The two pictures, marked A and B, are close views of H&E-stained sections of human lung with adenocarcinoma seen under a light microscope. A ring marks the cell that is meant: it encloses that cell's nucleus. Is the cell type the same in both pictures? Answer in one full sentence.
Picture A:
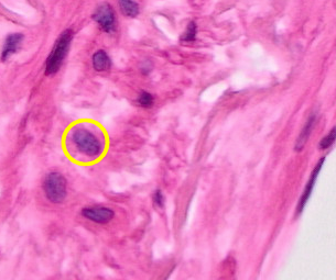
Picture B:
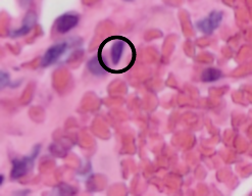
No, picture A shows a “smooth muscle cell or pericyte” and picture B shows a type I pneumocyte.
